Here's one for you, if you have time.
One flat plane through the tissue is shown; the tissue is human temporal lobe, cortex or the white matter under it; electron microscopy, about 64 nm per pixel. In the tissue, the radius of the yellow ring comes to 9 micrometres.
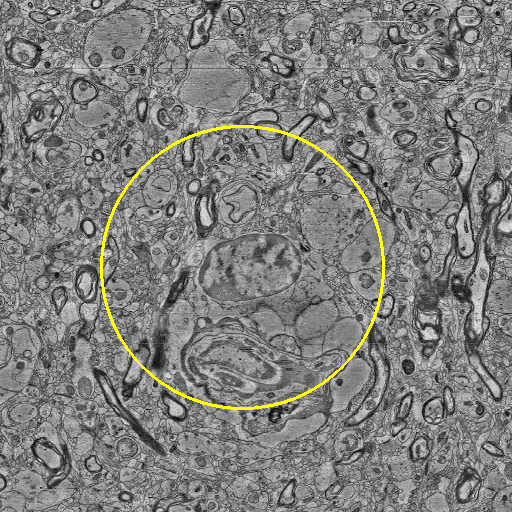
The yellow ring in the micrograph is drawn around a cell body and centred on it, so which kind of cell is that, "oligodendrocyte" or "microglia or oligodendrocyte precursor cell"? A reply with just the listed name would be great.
microglia or oligodendrocyte precursor cell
